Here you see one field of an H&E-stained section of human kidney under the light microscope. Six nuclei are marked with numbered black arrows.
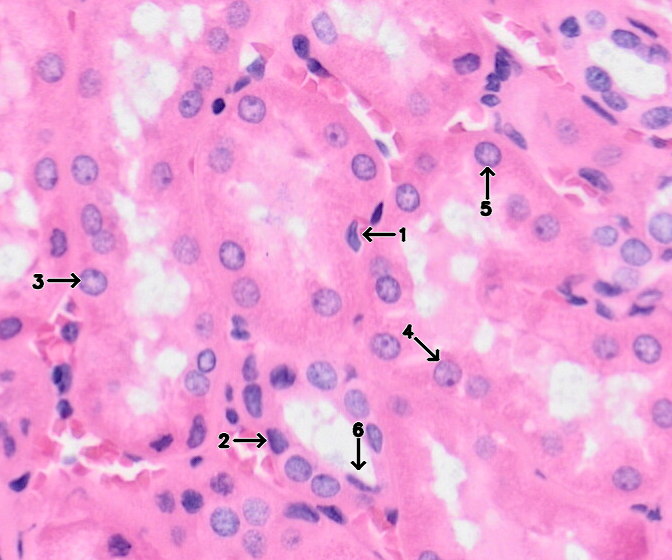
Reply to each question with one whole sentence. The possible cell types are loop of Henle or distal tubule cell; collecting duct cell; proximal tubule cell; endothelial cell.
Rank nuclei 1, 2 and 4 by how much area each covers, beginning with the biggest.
From largest to smallest, the order is 4, 2, 1.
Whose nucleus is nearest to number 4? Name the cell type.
The cell nearest to number 4 is a proximal tubule cell.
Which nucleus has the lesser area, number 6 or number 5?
The smaller nucleus is 6, and 5 covers roughly 2 times its area.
